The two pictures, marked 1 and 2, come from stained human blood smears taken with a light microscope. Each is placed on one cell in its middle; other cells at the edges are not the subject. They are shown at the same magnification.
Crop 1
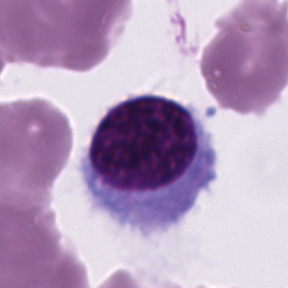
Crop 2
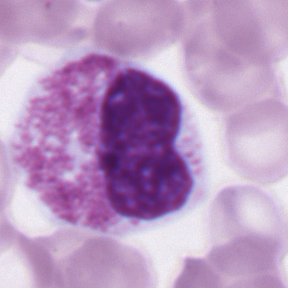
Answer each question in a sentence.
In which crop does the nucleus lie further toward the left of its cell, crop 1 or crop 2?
The nucleus in crop 1 lies further toward the left of its cell.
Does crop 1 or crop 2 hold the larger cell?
The cell in crop 2 is larger, with about 1.5 times the area of the one in crop 1.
